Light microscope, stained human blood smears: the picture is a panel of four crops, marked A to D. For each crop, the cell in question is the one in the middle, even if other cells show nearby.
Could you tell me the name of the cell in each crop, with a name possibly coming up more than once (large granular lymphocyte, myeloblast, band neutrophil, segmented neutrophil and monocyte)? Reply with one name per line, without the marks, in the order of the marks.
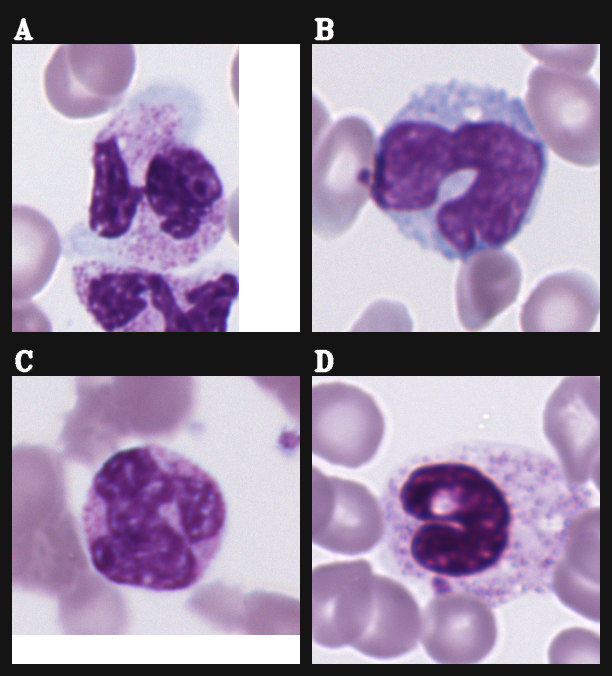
segmented neutrophil
monocyte
segmented neutrophil
band neutrophil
